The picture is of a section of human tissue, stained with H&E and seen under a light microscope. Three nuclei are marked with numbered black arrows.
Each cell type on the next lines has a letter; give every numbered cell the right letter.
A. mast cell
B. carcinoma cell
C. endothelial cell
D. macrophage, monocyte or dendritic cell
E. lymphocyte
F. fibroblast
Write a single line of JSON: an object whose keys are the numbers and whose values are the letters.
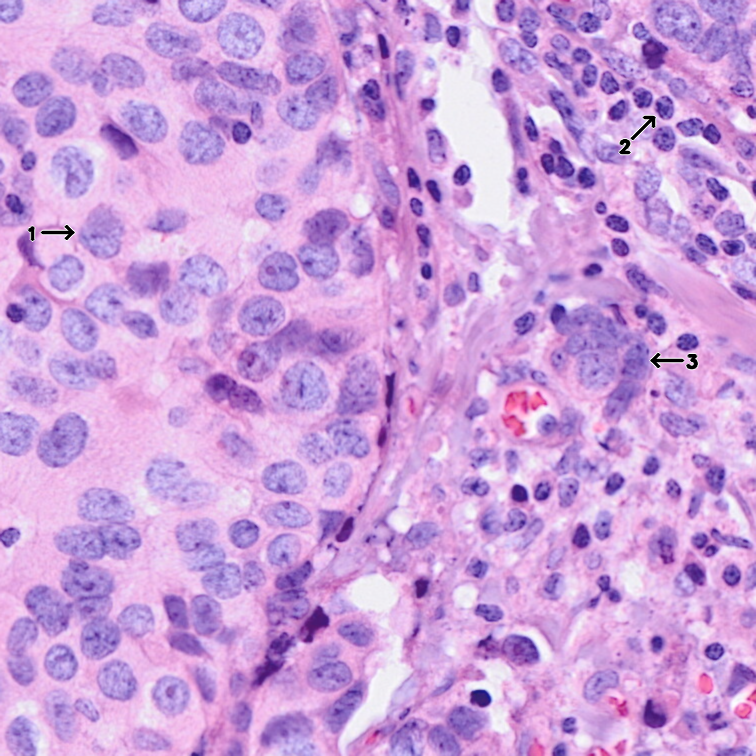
{"1": "B", "2": "E", "3": "B"}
